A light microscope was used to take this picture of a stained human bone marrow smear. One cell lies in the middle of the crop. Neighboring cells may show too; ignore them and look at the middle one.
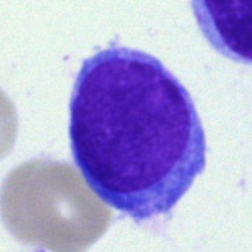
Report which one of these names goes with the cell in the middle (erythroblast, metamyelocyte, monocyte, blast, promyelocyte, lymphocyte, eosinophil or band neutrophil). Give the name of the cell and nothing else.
blast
